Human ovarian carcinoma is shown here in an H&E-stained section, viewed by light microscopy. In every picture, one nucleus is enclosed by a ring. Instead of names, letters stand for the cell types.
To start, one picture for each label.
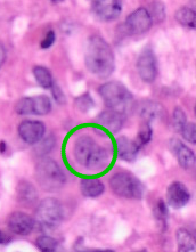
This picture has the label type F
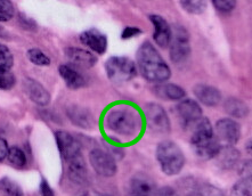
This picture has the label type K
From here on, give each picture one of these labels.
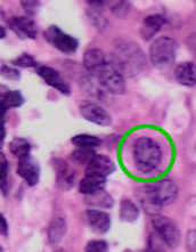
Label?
type F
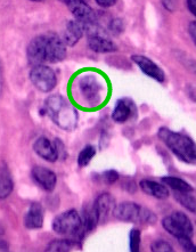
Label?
type K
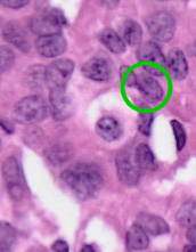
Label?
type F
